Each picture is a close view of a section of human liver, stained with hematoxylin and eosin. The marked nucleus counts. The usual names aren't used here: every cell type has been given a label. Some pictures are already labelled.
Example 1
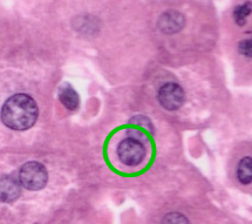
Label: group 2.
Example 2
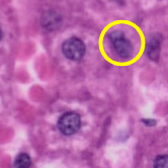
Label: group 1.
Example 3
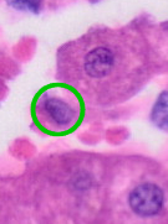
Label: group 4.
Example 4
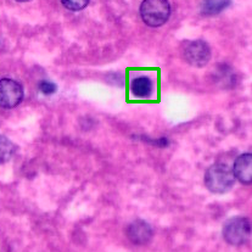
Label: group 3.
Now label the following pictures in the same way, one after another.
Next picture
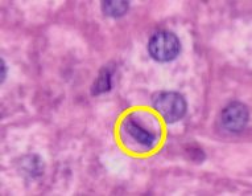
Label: group 1.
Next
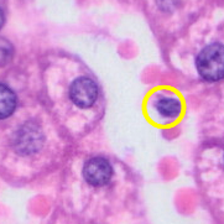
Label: group 3.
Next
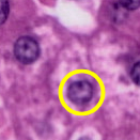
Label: group 2.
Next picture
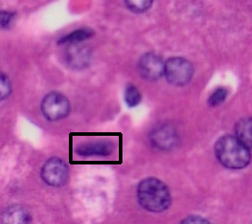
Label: group 1.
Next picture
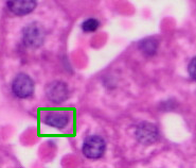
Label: group 1.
